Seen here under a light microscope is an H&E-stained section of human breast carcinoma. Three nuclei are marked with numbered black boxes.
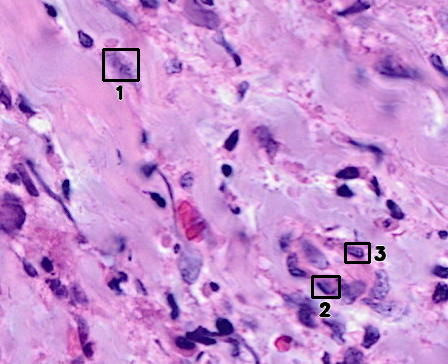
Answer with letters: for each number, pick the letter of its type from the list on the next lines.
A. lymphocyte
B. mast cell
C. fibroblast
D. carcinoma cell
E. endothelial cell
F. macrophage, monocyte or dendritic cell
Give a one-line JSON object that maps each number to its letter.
{"1": "C", "2": "E", "3": "E"}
